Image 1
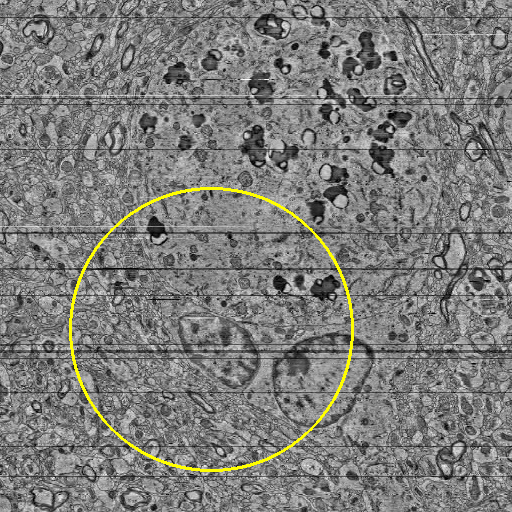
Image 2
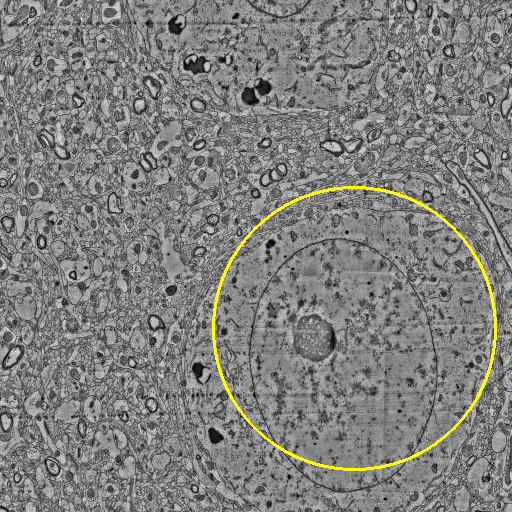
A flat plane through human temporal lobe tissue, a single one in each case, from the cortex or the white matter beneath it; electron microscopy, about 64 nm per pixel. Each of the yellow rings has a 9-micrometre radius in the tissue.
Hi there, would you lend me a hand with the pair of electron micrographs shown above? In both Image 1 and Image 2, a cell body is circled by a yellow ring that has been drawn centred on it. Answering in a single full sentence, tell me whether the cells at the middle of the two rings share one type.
No, the ringed cells in Image 1 and Image 2 belong to two types.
